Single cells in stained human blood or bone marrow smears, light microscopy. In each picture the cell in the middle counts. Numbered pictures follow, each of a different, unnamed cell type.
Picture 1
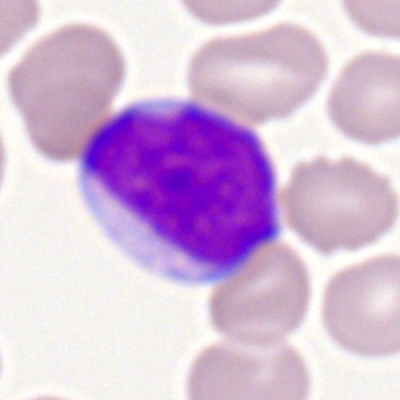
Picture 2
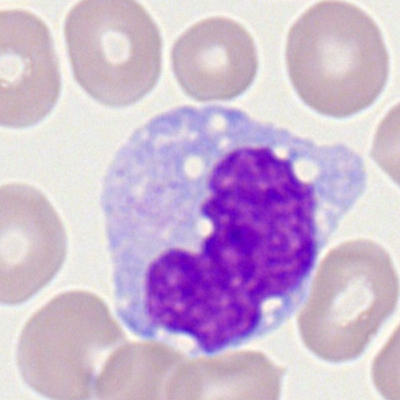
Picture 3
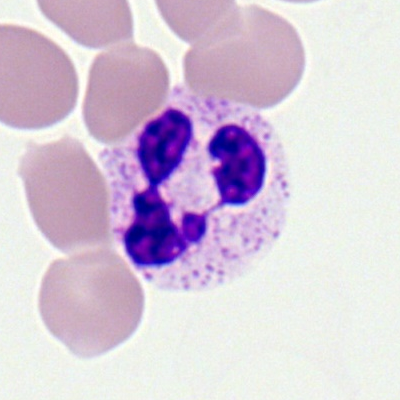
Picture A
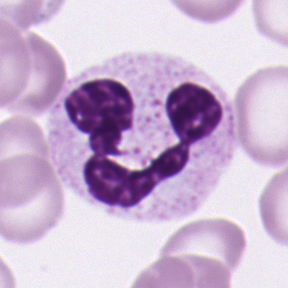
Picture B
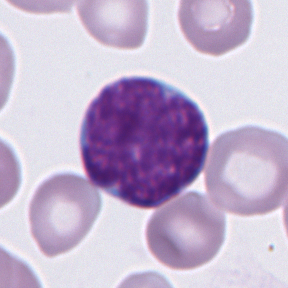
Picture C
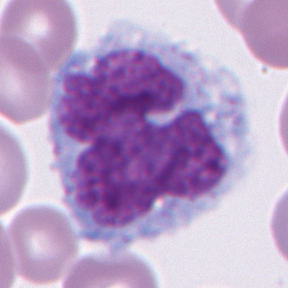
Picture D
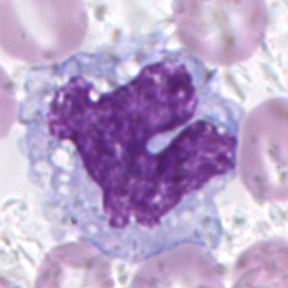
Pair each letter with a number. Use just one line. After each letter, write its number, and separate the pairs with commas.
A 3, B 1, C 2, D 2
